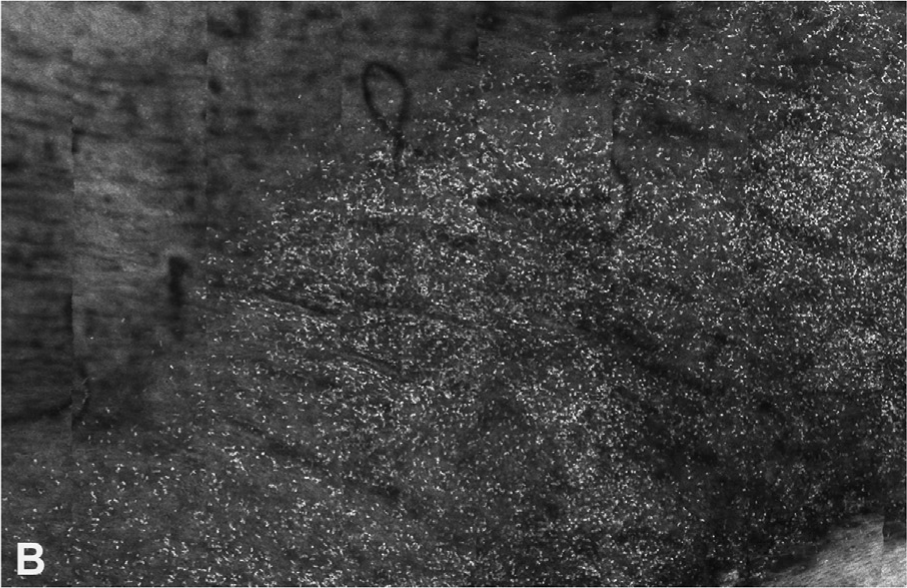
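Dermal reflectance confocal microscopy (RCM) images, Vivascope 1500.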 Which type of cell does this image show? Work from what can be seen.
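Numerous small bright dots are scattered densely across much of the field. The bright dots are of roughly uniform small size with slightly irregular shapes. The bright dots lie on a darker grey background. So: inflammatory cells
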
